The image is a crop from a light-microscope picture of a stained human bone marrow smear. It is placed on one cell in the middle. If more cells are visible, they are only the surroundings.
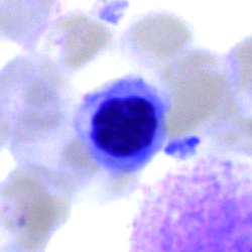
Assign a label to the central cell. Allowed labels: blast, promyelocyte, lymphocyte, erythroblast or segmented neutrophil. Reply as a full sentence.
The cell that lies at the centre of the crop is an erythroblast.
